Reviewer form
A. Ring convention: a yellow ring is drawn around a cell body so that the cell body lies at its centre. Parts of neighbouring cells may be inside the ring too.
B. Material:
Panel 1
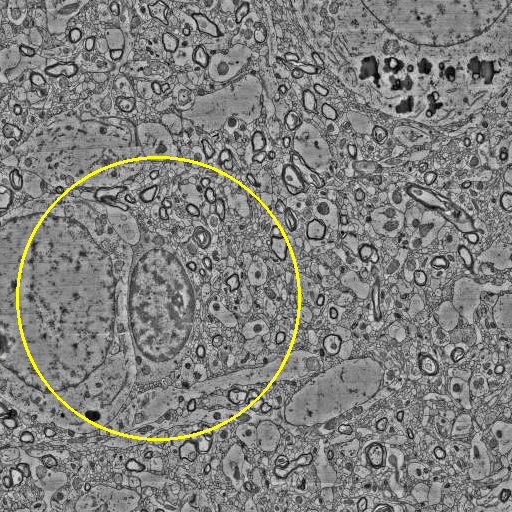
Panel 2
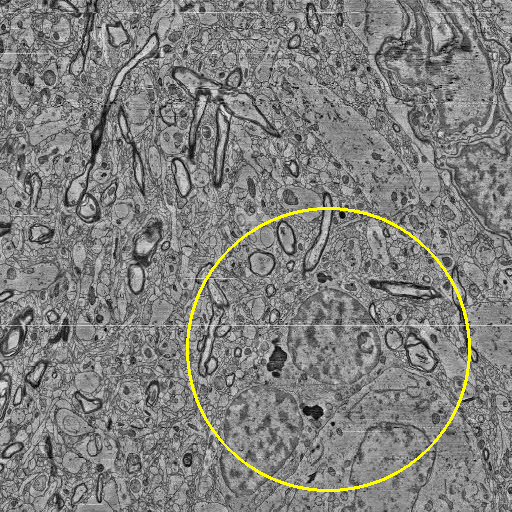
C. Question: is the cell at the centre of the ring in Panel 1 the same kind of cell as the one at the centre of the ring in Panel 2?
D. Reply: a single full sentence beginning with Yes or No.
Yes, the cells in Panel 1 and Panel 2 are the same kind of cell.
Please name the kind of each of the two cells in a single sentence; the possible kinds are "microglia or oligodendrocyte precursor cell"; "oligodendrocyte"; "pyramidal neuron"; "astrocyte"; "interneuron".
Each cell, in the first picture and the second, is an oligodendrocyte.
